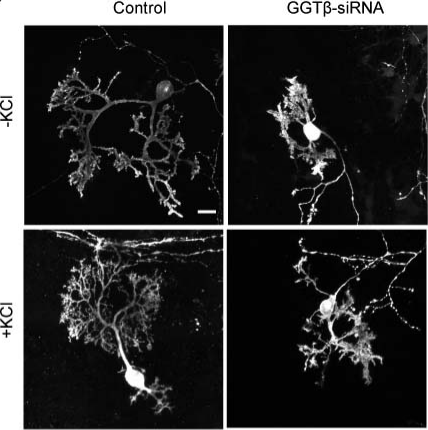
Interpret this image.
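Every cell has a large, smooth, rounded cell body. The arbors differ in size and spread from image to image: some are broad and elaborate, while others are compact and sit close to the cell body. Thin, beaded fibres, probably axons, cross the fields apart from the dendritic trees.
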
